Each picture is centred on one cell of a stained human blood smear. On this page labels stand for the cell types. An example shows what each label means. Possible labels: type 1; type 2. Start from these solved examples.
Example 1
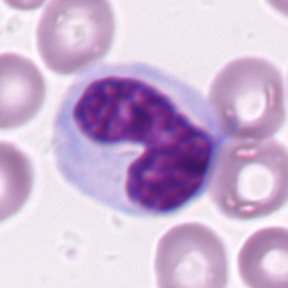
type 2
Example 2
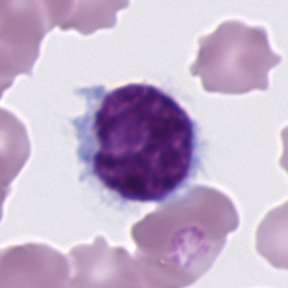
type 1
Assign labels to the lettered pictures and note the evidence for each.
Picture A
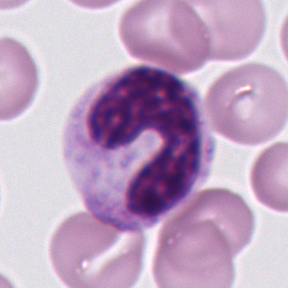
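type 2. Evidence: The nucleus is a thick curved band bent into a horseshoe shape.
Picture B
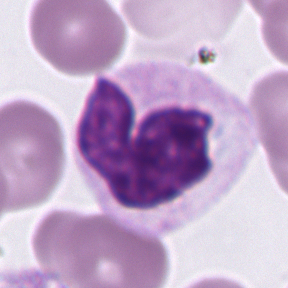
type 2. Evidence: The cytoplasm is plentiful and pale lilac-pink.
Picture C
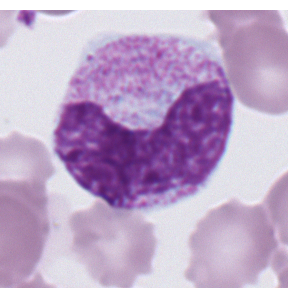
type 2. Evidence: A broad area of pale cytoplasm fills the upper part of the cell above the nucleus.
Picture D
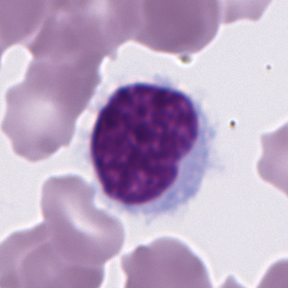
type 1. Evidence: The nucleus fills most of the cell.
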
